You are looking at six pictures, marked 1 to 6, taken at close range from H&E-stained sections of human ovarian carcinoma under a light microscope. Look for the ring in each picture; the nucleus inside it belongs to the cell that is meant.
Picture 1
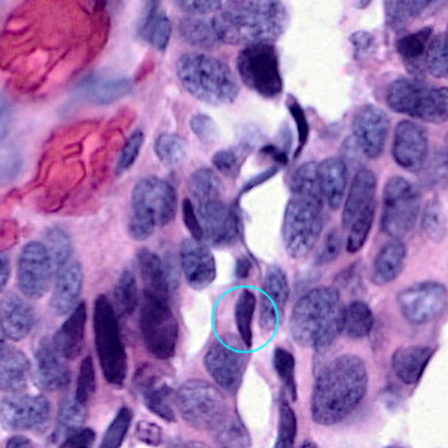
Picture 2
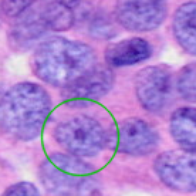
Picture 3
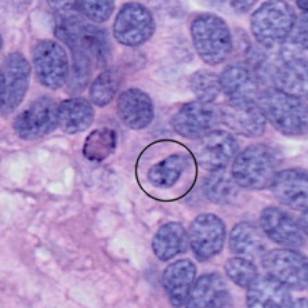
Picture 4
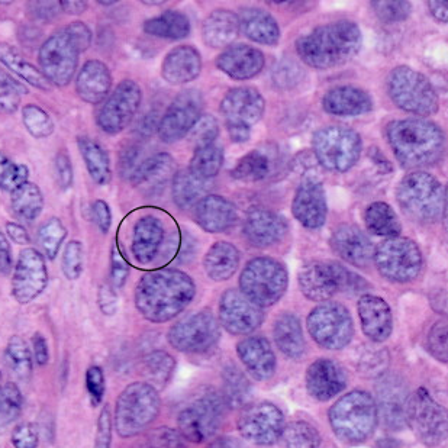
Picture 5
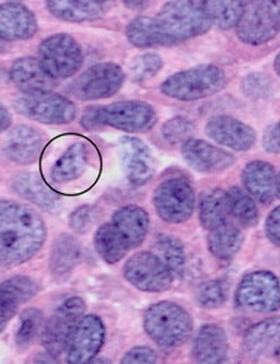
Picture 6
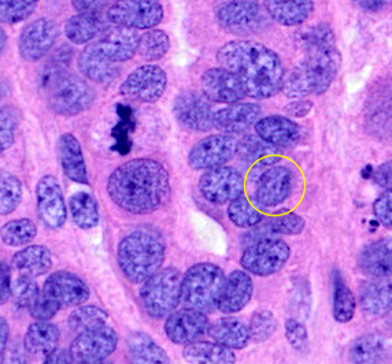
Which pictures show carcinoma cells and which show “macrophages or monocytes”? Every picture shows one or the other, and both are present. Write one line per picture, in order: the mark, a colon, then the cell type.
1: carcinoma cell
2: carcinoma cell
3: macrophage or monocyte
4: carcinoma cell
5: macrophage or monocyte
6: carcinoma cell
